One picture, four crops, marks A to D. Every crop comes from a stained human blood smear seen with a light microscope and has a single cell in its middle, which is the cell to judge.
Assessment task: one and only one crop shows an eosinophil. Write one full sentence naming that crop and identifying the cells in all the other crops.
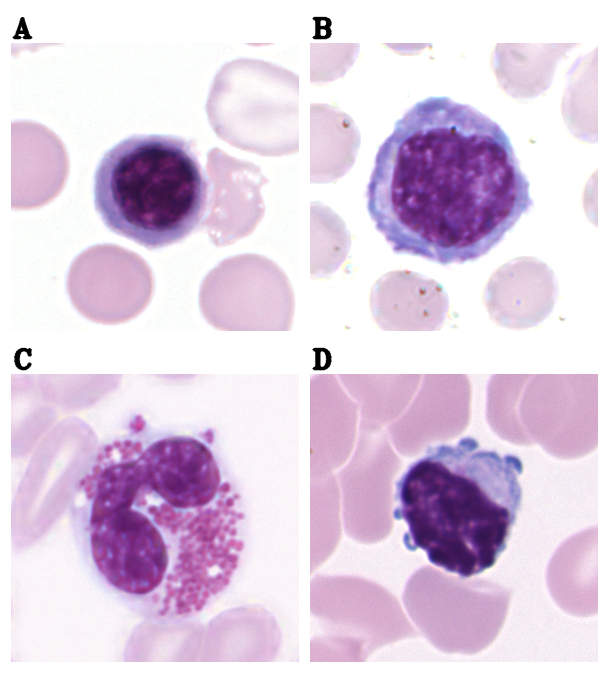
The cell of interest in crop C is an eosinophil, while crop A is a normoblast, crop B is a plasma cell and crop D is a typical lymphocyte.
